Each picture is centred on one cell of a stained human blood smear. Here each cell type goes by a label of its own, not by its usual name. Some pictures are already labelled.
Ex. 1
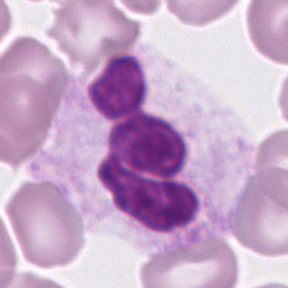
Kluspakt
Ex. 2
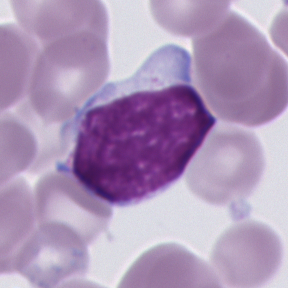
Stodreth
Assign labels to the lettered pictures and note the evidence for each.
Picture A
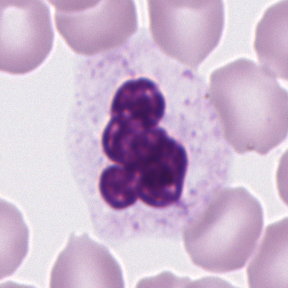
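Kluspakt. Reason: The cytoplasm is abundant and surrounds the nucleus on all sides.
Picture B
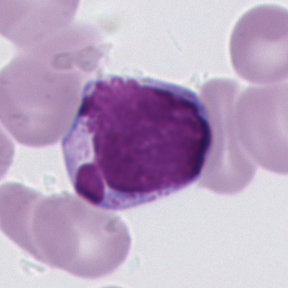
Stodreth. Reason: The cytoplasm is scant and forms a wider zone only on the left side of the cell.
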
